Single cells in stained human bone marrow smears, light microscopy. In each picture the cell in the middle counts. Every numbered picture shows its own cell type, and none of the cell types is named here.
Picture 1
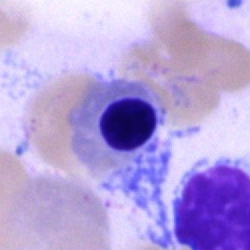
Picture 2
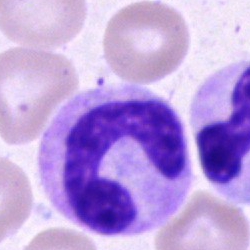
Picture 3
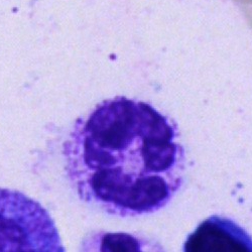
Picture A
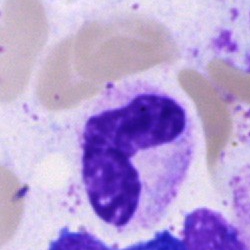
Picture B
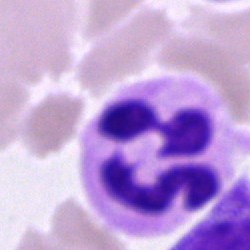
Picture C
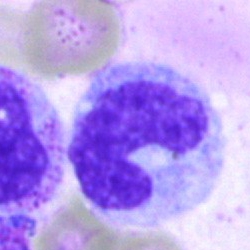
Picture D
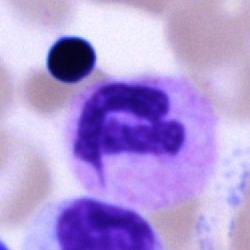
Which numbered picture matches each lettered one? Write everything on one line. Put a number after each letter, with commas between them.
A 2, B 3, C 2, D 3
